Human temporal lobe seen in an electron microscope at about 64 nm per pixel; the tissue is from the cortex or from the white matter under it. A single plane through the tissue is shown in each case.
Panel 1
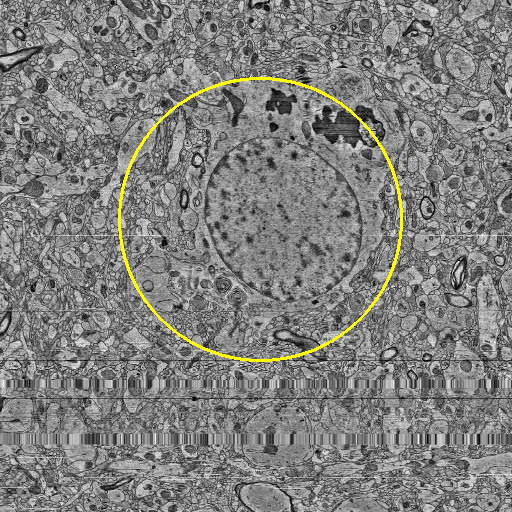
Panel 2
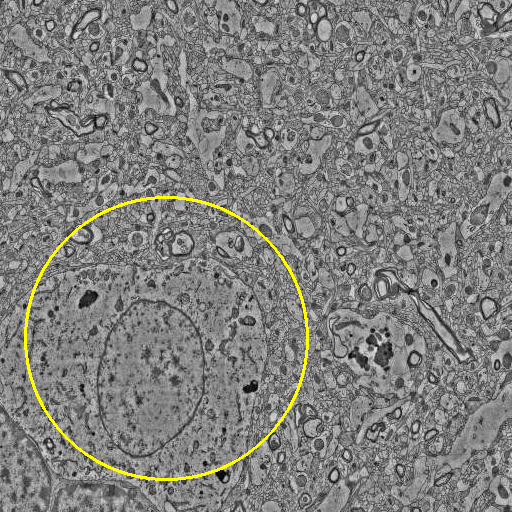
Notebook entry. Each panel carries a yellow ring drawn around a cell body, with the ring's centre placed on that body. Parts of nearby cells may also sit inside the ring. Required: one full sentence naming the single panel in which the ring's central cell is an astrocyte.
Panel 1 is the single one with the sought cell at its ring's centre.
